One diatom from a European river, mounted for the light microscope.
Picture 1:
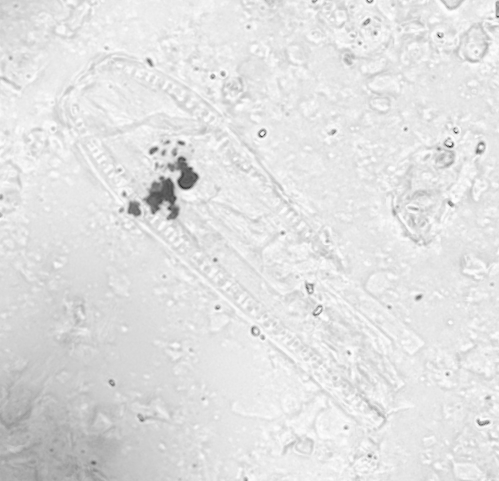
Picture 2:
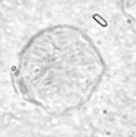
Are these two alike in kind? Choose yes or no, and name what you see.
No. First Nitzschia, second Discostella.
